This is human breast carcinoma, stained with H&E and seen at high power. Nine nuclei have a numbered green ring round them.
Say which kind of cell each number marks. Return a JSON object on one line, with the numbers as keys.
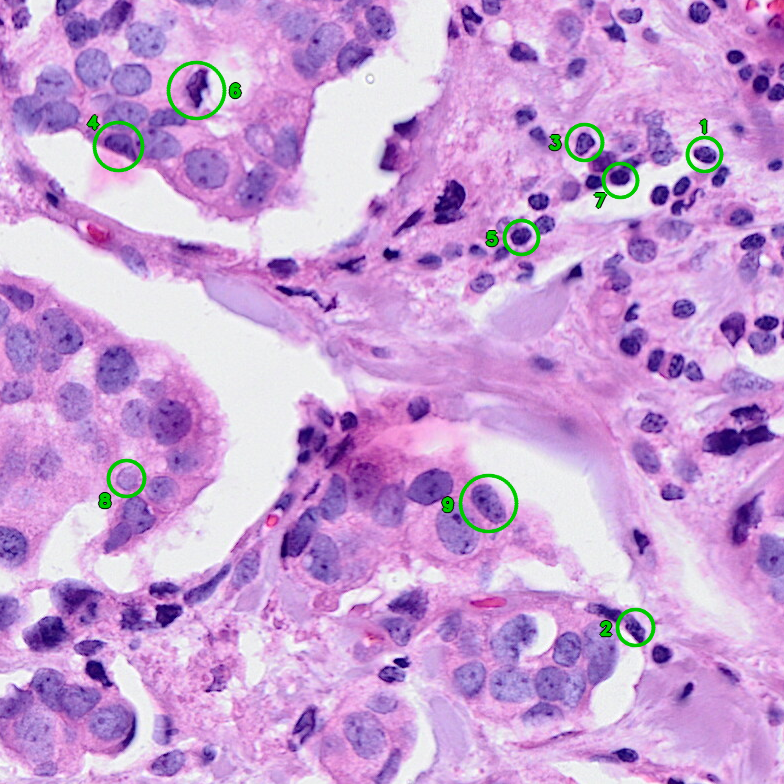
{"1": "lymphocyte", "2": "lymphocyte", "3": "lymphocyte", "4": "carcinoma cell", "5": "lymphocyte", "6": "carcinoma cell", "7": "lymphocyte", "8": "carcinoma cell", "9": "carcinoma cell"}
